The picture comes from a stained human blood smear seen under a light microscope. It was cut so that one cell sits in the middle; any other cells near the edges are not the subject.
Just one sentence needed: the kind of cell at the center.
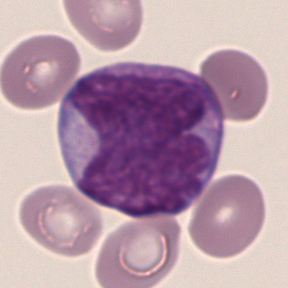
The cell at the middle of the frame should be recorded as an atypical promyelocyte.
